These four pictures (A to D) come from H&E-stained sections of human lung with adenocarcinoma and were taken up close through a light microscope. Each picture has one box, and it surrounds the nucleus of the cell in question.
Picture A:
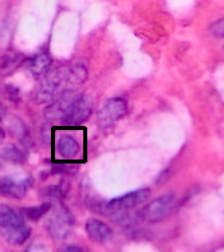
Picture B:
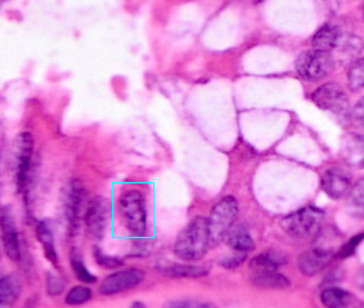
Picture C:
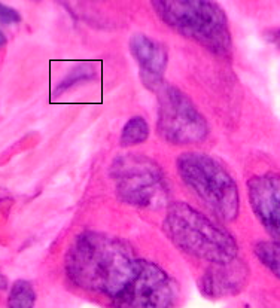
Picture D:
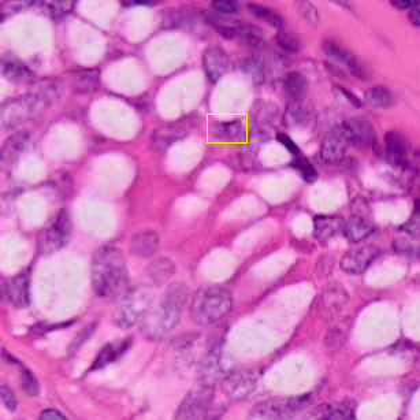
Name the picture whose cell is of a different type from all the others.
C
